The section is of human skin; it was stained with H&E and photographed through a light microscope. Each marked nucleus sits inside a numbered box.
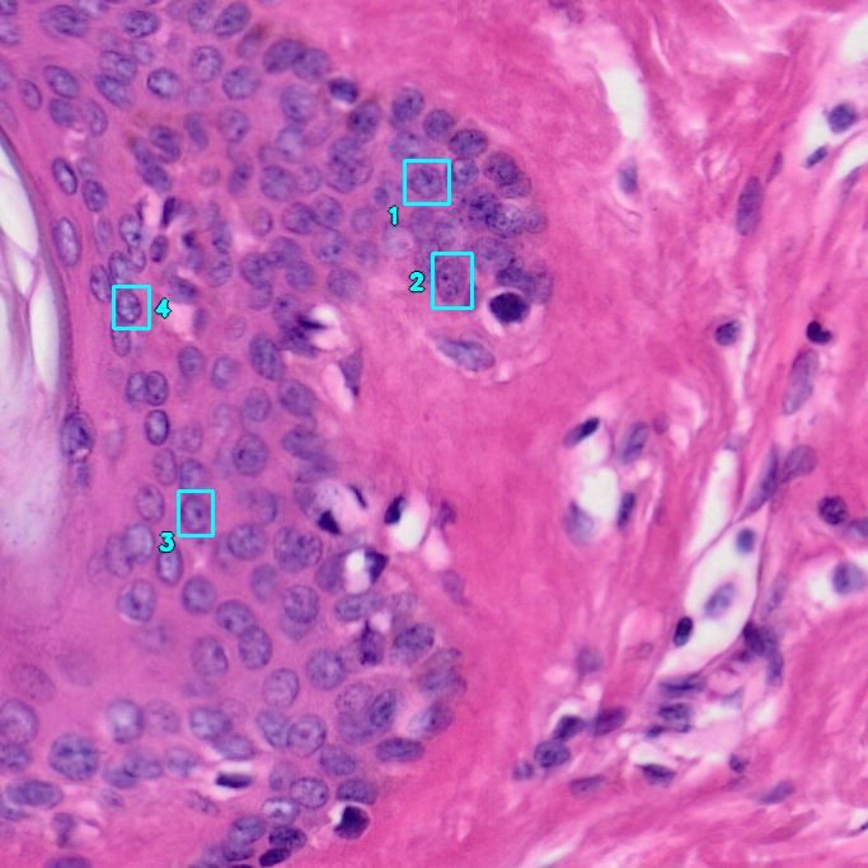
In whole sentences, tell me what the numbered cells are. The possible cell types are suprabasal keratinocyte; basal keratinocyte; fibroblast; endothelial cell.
Cell 1 is a suprabasal keratinocyte, cell 2 is a basal keratinocyte, cell 3 is a suprabasal keratinocyte and cell 4 is a suprabasal keratinocyte.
